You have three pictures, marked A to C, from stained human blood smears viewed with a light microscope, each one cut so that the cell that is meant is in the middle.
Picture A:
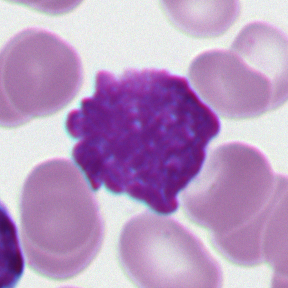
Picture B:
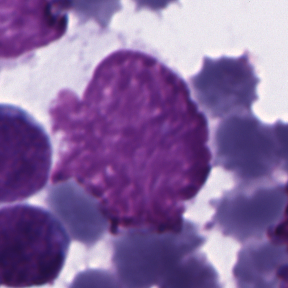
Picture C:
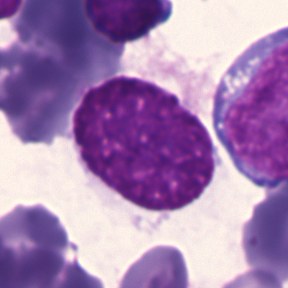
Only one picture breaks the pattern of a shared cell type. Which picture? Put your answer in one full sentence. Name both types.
All pictures except C show smudge cells; picture C shows a myeloblast.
